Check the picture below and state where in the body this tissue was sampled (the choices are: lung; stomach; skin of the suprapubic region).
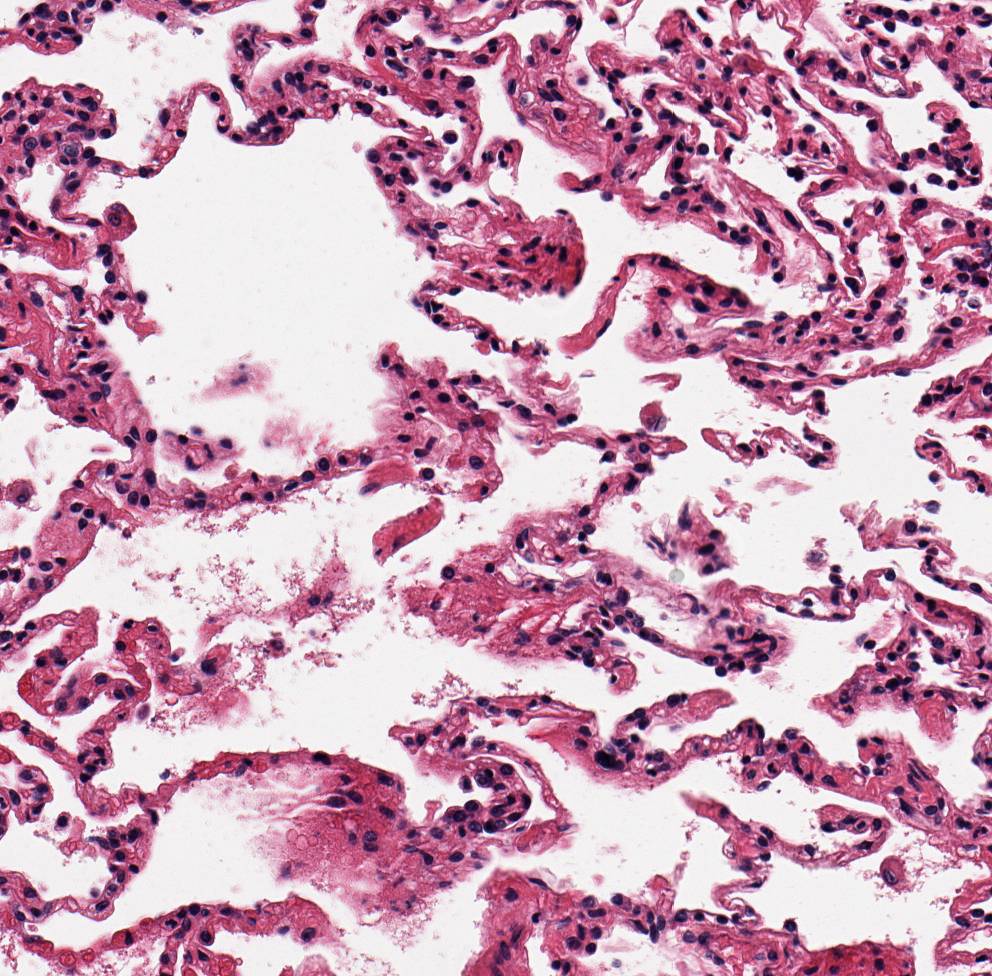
lung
